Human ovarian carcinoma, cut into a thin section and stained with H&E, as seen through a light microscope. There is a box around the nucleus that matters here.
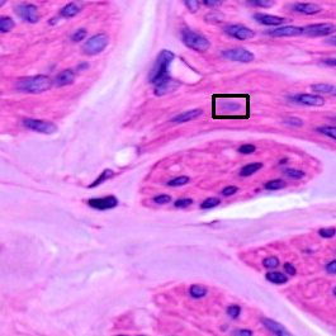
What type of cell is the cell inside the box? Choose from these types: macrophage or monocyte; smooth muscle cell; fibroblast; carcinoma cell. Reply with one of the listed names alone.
smooth muscle cell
